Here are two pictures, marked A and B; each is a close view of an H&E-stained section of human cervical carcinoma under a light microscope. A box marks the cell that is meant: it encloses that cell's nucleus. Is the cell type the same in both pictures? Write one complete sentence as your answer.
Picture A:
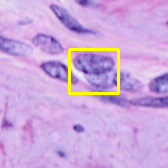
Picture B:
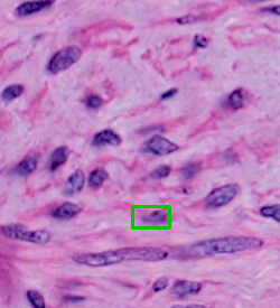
No, they differ: the cell is an endothelial cell in picture A and a smooth muscle cell in picture B.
